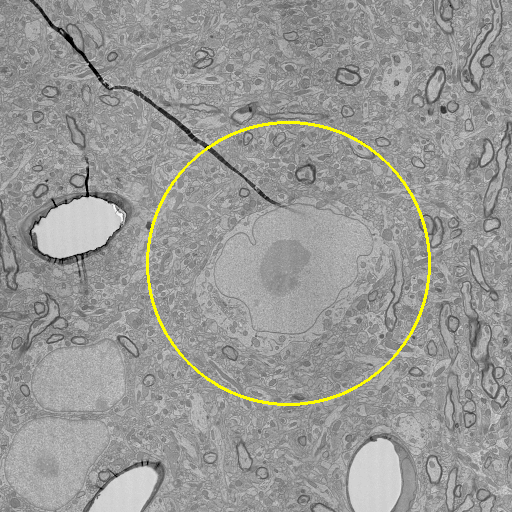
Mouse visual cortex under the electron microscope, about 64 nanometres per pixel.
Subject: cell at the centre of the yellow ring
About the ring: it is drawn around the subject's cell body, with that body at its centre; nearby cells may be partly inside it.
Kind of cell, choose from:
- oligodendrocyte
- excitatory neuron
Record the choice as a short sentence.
The subject cell is an excitatory neuron.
